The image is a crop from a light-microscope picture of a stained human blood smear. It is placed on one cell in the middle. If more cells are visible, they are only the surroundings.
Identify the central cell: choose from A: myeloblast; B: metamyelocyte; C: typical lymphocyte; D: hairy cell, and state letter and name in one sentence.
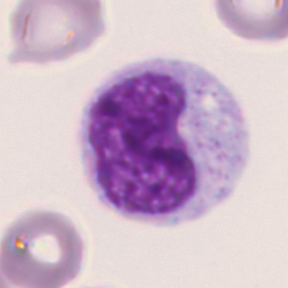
Option B is the correct selection, for the cell at the centre is a metamyelocyte.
